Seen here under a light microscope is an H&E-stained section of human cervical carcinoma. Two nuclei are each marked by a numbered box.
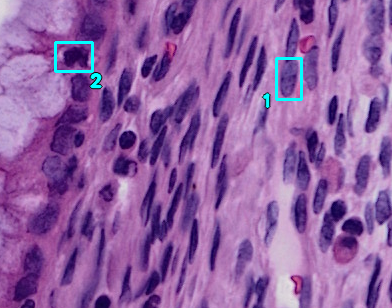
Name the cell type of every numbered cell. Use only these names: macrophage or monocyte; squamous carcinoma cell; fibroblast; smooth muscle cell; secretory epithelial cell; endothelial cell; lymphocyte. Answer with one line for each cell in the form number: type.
1: endothelial cell
2: secretory epithelial cell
